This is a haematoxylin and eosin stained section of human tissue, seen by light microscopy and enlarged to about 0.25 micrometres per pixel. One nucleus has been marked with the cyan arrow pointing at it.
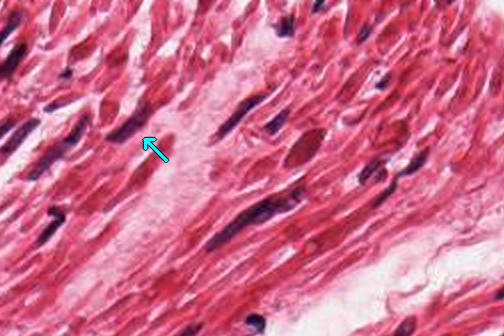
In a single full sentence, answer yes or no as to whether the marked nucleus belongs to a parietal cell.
No, the marked nucleus is not held within a parietal cell.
